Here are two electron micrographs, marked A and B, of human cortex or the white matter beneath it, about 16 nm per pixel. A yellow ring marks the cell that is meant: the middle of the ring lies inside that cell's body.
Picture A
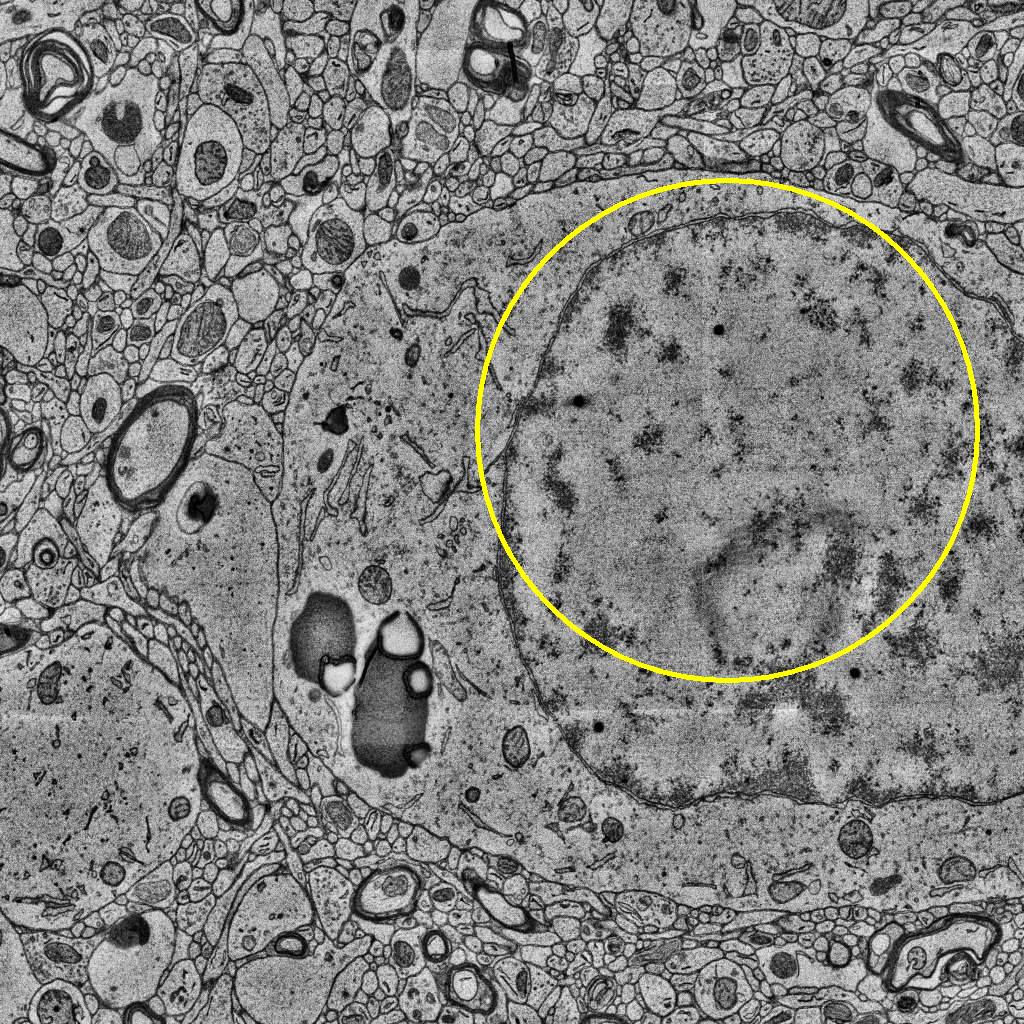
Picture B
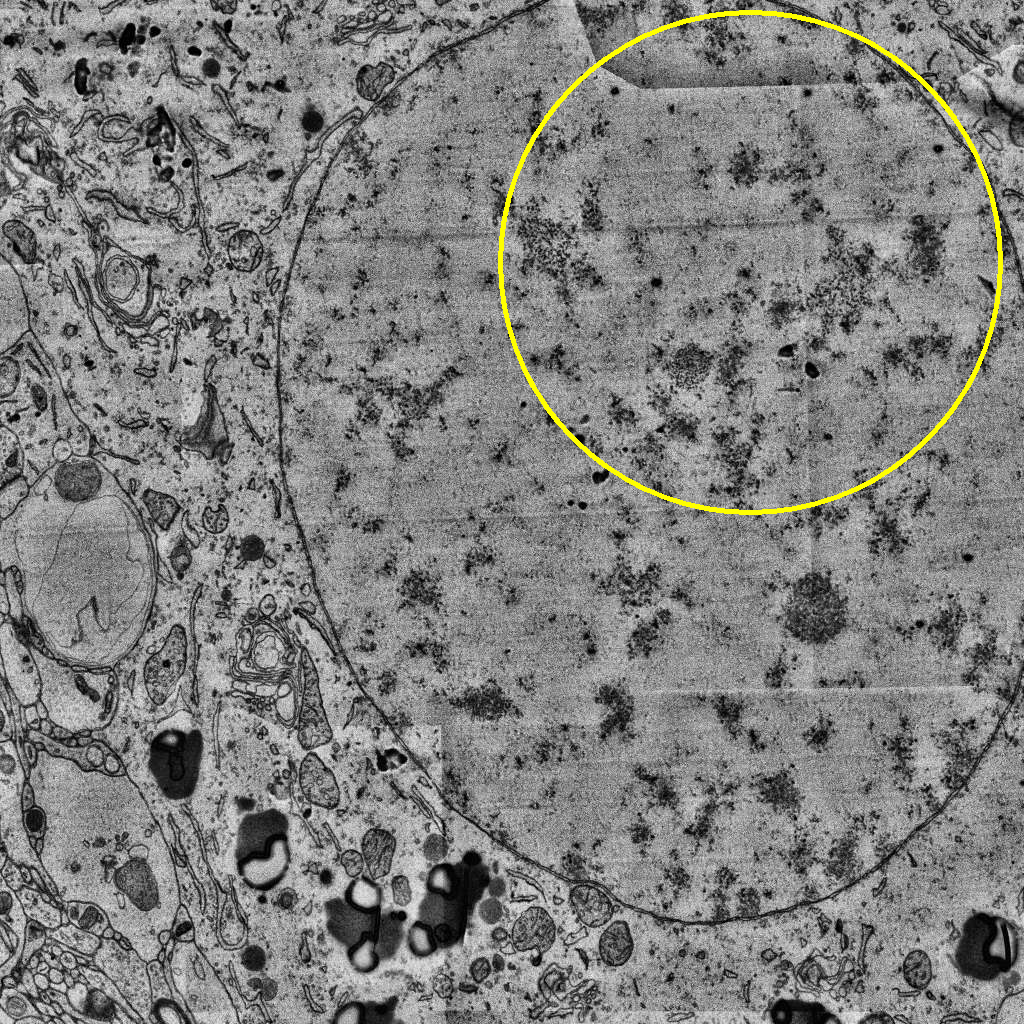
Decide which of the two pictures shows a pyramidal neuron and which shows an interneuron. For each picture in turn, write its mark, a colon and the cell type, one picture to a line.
A: interneuron
B: pyramidal neuron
